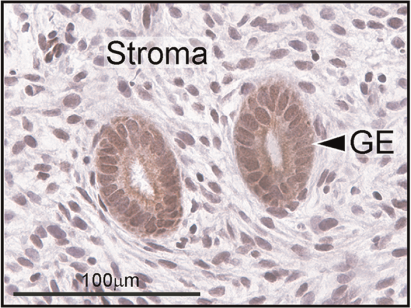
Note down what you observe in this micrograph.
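Two small oval glands sit in a dense stroma of spindle-shaped cells with elongated, mostly blue-grey nuclei. Each gland is lined by tall columnar cells whose nuclei are crowded and stacked, stained brown along with much of their cytoplasm, around a narrow central lumen. The straight, tubular glands with crowded nuclei and compact spindly stroma fit endometrium in the proliferative phase, with the gland epithelium staining more strongly than the stroma.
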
